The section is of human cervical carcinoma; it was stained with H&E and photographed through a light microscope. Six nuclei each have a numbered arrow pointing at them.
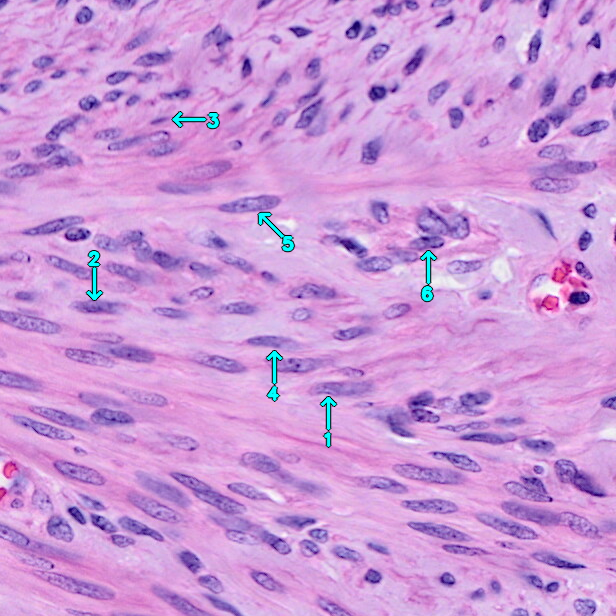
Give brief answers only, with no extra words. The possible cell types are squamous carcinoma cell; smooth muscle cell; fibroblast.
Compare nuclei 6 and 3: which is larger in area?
6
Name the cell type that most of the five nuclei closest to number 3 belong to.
smooth muscle cell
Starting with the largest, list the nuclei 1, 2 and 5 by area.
5, 2, 1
